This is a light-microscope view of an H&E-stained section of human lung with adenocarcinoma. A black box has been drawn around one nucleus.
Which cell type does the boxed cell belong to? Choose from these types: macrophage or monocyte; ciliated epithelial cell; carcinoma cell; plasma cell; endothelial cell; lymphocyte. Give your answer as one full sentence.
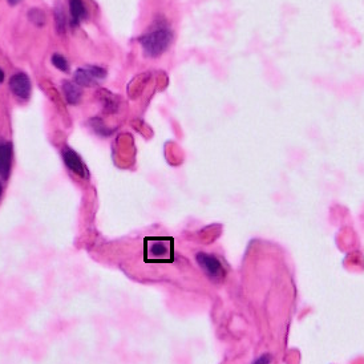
For cell typing purposes, the boxed cell is an endothelial cell.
